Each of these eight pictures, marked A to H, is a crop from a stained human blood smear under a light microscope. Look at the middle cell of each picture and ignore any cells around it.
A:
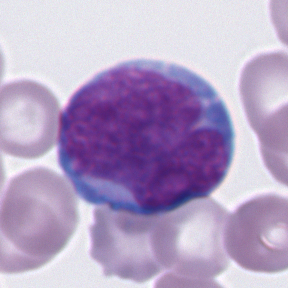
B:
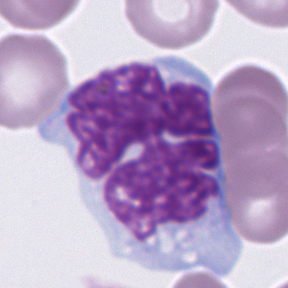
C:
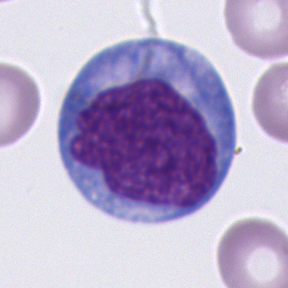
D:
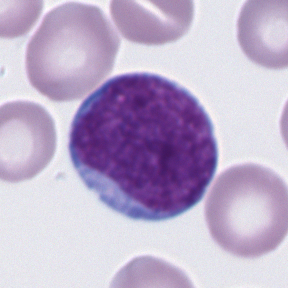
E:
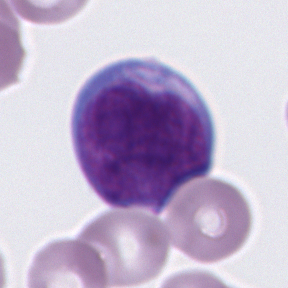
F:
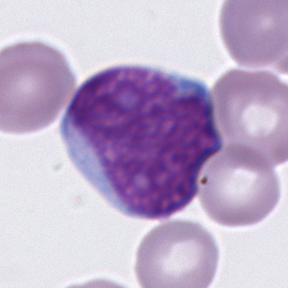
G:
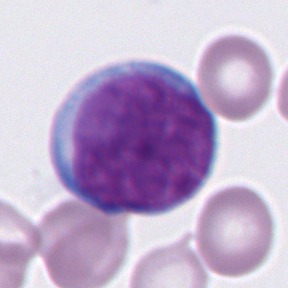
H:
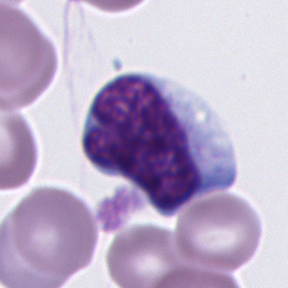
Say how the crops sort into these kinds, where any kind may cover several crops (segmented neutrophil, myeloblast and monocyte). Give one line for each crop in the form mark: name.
A: myeloblast
B: monocyte
C: myeloblast
D: myeloblast
E: myeloblast
F: myeloblast
G: myeloblast
H: monocyte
